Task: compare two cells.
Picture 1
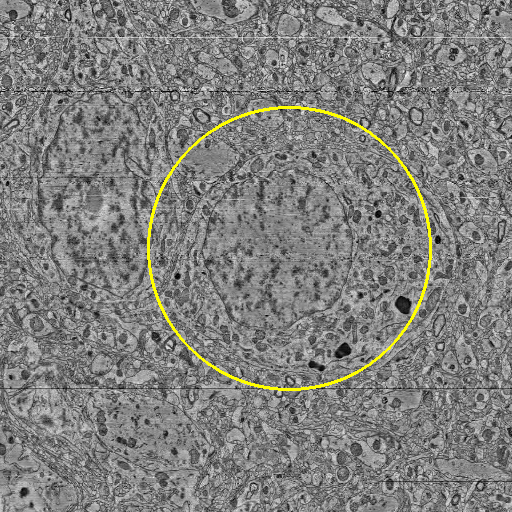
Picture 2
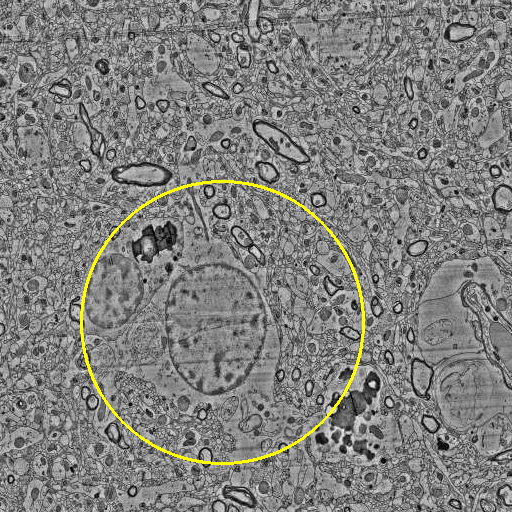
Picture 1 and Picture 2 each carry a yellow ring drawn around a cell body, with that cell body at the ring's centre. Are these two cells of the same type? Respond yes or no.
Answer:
no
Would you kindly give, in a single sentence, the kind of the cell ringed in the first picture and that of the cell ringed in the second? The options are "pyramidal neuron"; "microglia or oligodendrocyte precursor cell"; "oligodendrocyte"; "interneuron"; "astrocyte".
The second cell is an astrocyte, and the first cell is an interneuron.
